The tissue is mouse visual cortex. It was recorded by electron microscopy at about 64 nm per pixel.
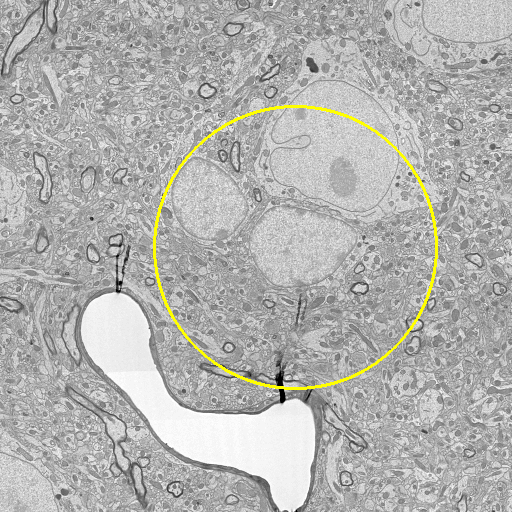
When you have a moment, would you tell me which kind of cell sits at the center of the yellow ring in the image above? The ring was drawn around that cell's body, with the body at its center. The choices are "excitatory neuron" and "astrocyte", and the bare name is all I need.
astrocyte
